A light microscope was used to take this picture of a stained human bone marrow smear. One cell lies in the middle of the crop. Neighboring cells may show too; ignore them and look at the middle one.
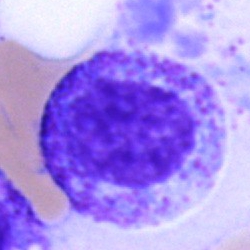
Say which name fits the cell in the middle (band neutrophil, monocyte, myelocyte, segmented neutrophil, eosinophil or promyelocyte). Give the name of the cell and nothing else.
promyelocyte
